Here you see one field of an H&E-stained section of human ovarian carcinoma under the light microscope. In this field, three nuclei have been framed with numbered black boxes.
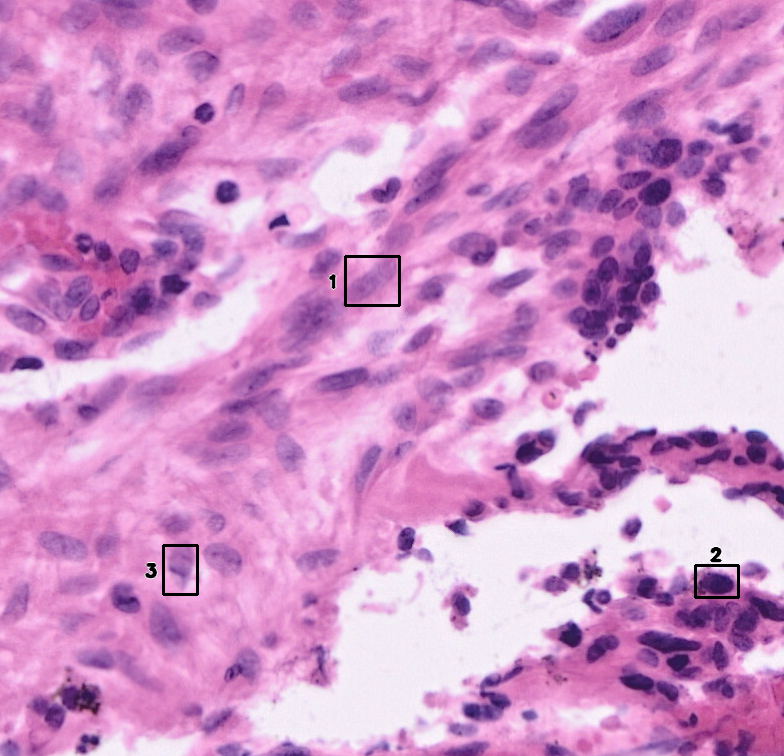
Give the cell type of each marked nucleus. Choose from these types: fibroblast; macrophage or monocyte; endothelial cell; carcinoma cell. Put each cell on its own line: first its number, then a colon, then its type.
1: fibroblast
2: carcinoma cell
3: fibroblast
